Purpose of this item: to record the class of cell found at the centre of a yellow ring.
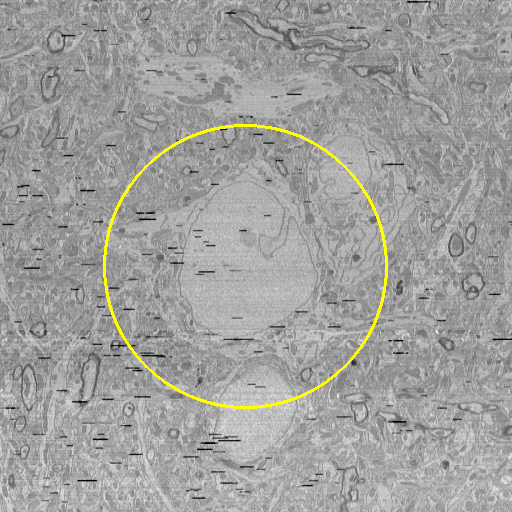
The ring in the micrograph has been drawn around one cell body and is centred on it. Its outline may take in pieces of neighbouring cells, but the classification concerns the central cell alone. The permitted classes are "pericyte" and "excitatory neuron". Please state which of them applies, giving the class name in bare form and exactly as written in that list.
excitatory neuron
